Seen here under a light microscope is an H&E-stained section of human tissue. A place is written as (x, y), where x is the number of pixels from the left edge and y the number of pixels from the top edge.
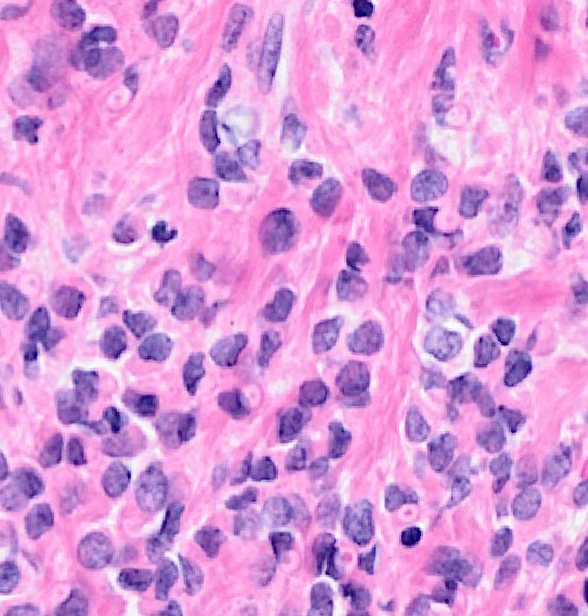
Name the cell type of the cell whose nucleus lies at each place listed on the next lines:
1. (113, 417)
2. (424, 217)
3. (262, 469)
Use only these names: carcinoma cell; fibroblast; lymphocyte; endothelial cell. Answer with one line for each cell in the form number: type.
1: lymphocyte
2: carcinoma cell
3: carcinoma cell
